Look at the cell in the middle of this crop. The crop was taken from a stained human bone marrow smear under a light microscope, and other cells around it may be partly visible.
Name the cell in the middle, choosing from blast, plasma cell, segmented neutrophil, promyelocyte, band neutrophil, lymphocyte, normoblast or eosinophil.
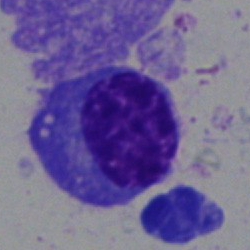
plasma cell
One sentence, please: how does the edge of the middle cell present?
The border of this cell runs smooth and free of any projections.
